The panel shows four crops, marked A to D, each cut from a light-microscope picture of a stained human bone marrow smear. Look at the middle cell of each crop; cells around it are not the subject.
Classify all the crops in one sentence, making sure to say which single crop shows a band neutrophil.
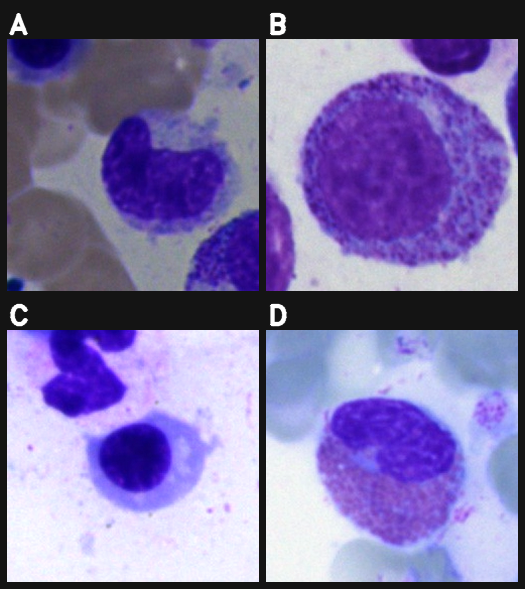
The cell sitting in crop A is a band neutrophil, while crop B is a promyelocyte, crop C is a normoblast and crop D is an eosinophil.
